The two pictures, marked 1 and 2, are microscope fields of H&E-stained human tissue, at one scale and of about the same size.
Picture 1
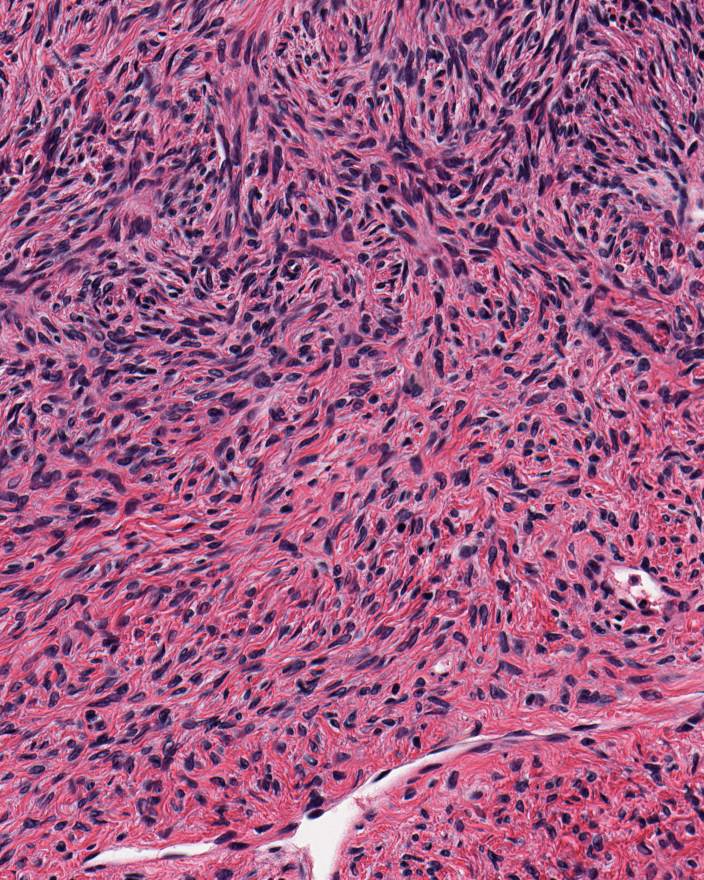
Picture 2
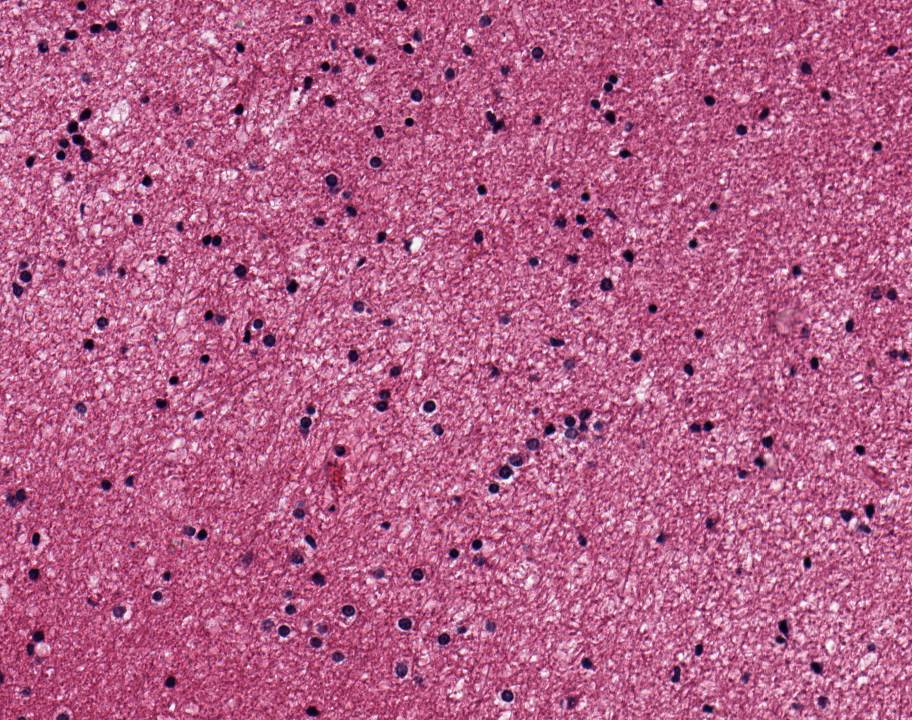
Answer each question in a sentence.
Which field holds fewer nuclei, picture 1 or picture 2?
Fewer nuclei lie in picture 2 than in picture 1.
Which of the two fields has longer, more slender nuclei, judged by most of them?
Longer, more slender nuclei lie in picture 1.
